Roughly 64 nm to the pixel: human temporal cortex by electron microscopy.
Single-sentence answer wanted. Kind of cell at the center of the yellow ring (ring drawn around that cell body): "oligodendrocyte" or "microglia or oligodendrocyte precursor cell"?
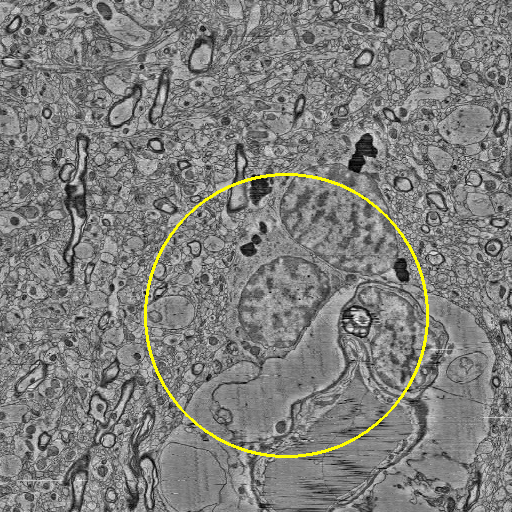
The cell centered in the ring is an oligodendrocyte.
